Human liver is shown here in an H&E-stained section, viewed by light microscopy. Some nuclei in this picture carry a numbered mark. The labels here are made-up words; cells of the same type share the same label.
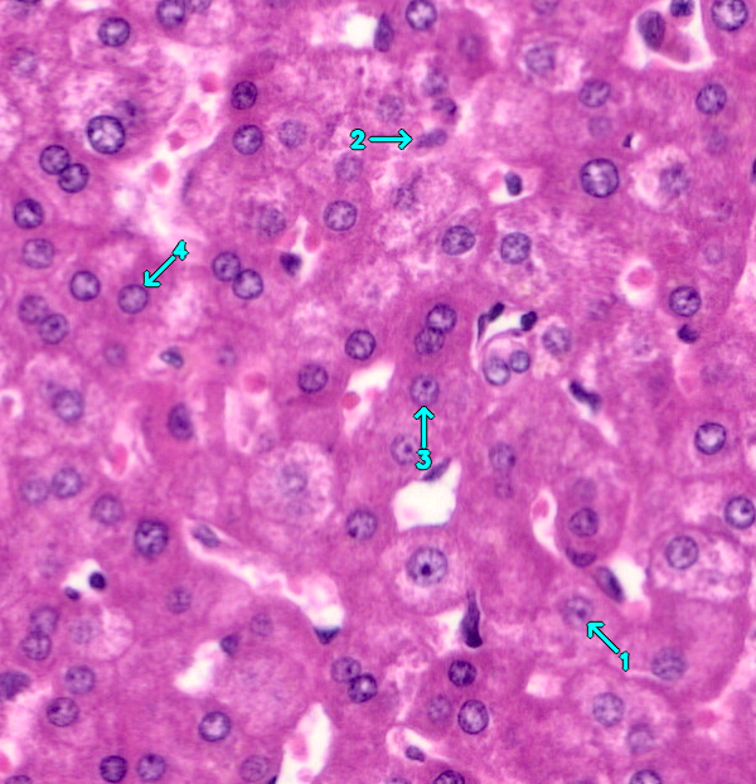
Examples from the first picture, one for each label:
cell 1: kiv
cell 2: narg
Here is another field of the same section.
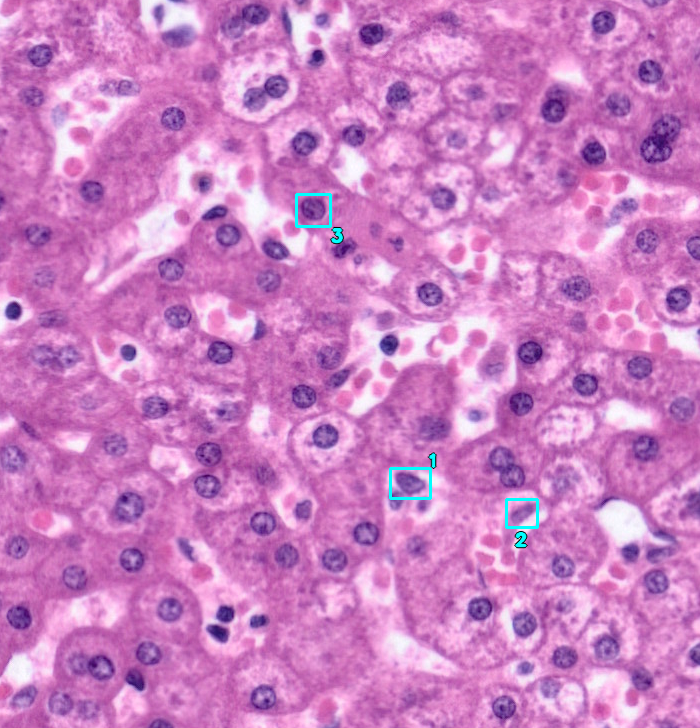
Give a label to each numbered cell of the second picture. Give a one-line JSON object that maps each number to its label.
{"1": "narg", "2": "narg", "3": "kiv"}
